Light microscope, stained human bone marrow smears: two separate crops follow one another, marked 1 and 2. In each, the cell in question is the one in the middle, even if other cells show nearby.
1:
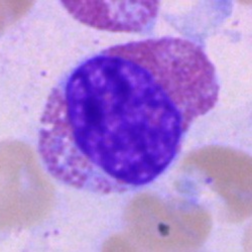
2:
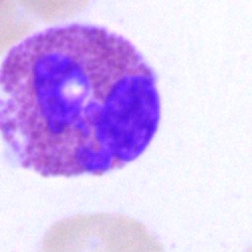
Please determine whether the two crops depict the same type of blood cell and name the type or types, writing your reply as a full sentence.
Yes, the centre cells of both crops are eosinophils.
